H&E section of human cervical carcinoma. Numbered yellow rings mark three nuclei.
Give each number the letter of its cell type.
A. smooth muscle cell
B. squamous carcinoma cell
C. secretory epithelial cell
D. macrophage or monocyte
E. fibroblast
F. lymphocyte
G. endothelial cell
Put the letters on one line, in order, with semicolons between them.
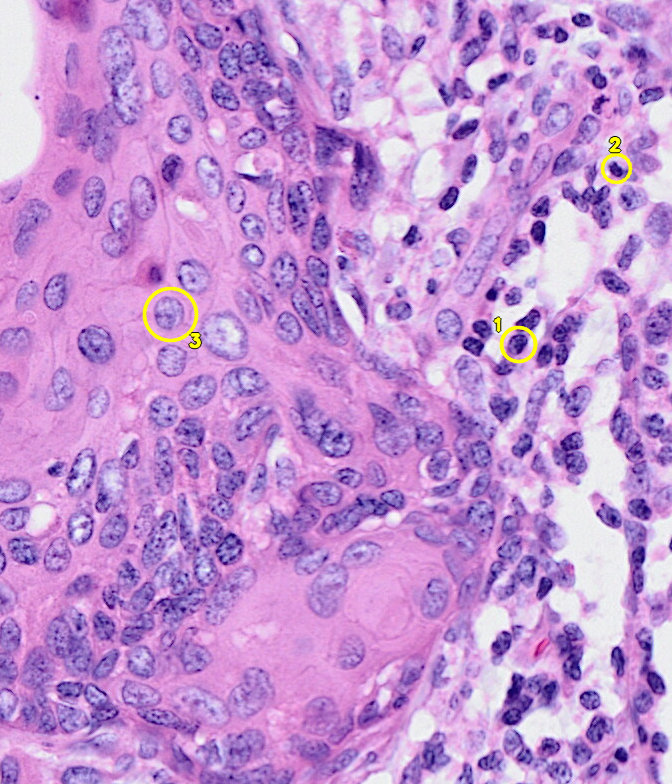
F; F; B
